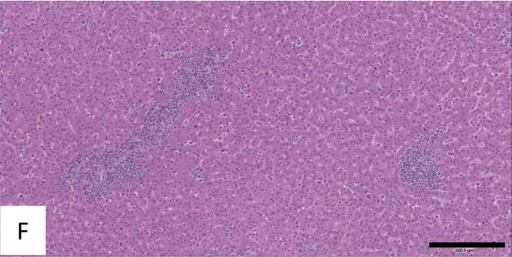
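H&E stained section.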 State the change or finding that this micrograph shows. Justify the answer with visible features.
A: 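Mononuclear infiltrates. Focal clusters of small dark nuclei interrupt the pale pink plates of liver cells. One cluster forms an elongated band across the field.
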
